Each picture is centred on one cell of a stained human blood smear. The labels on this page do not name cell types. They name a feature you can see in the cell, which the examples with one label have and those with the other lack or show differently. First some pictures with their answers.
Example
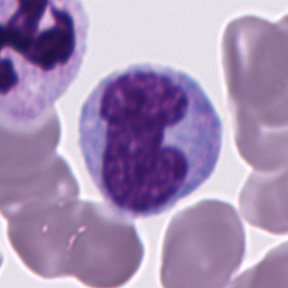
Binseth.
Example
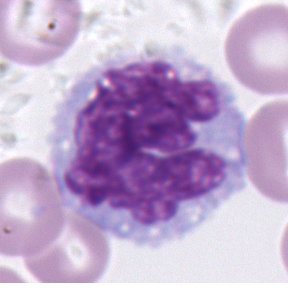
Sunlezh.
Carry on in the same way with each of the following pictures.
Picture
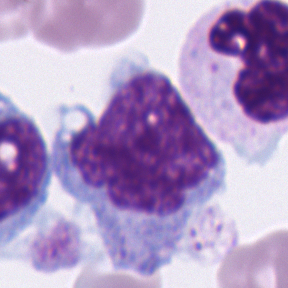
Sunlezh.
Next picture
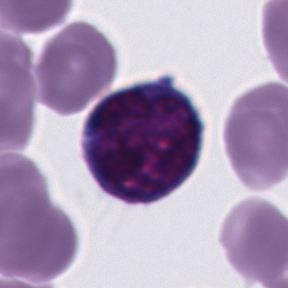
Binseth.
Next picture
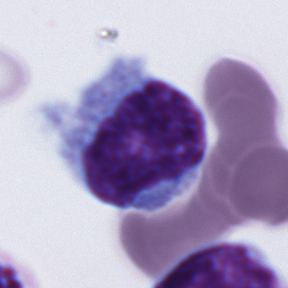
Binseth.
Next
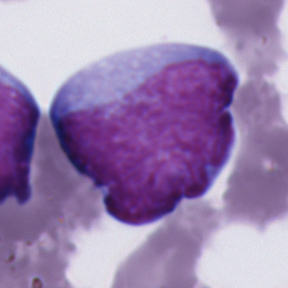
Binseth.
